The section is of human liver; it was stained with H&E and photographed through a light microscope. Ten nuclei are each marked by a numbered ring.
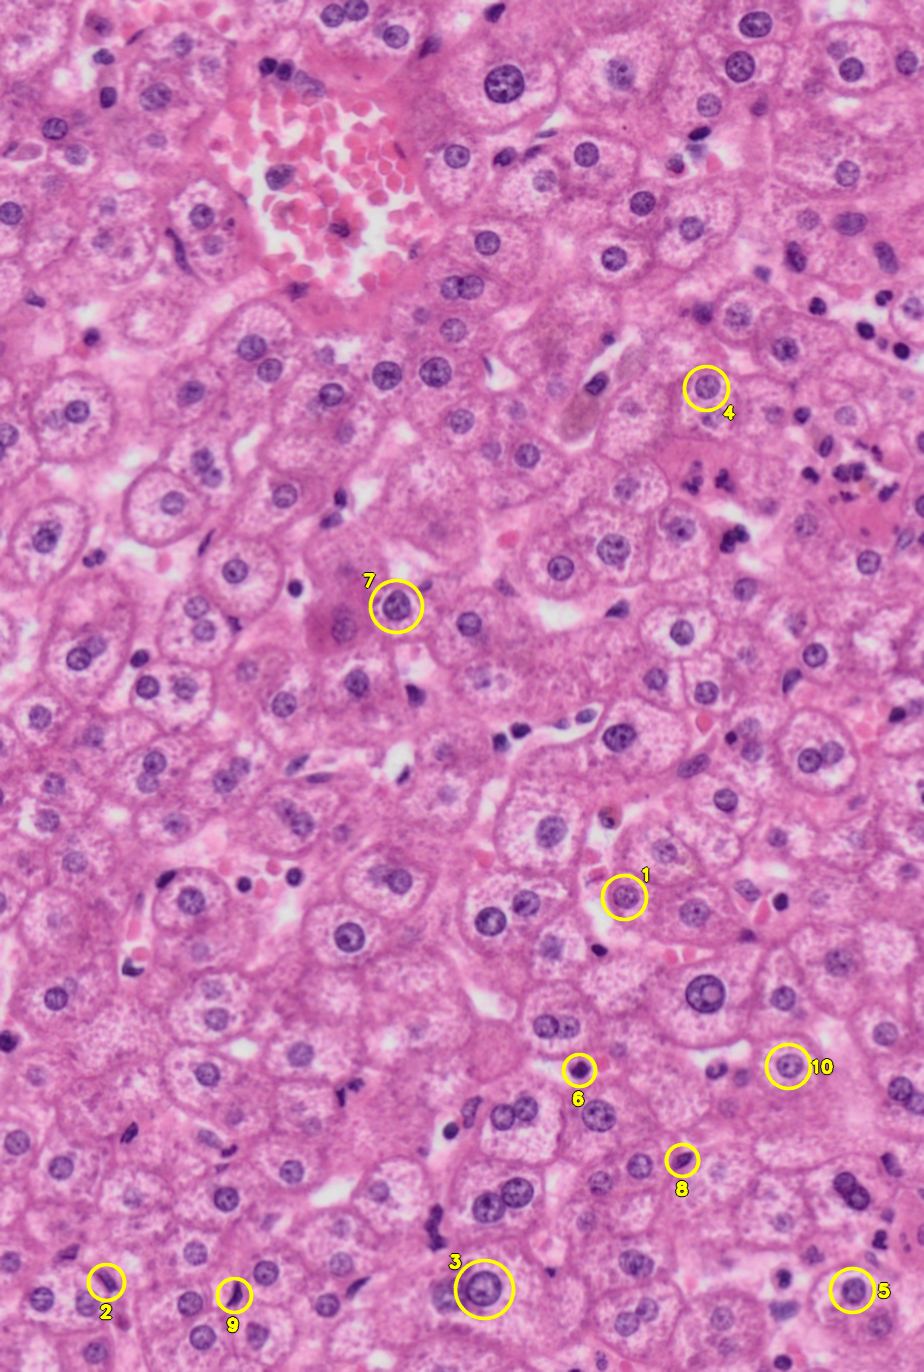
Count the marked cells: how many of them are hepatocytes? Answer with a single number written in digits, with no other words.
6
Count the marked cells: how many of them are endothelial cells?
1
